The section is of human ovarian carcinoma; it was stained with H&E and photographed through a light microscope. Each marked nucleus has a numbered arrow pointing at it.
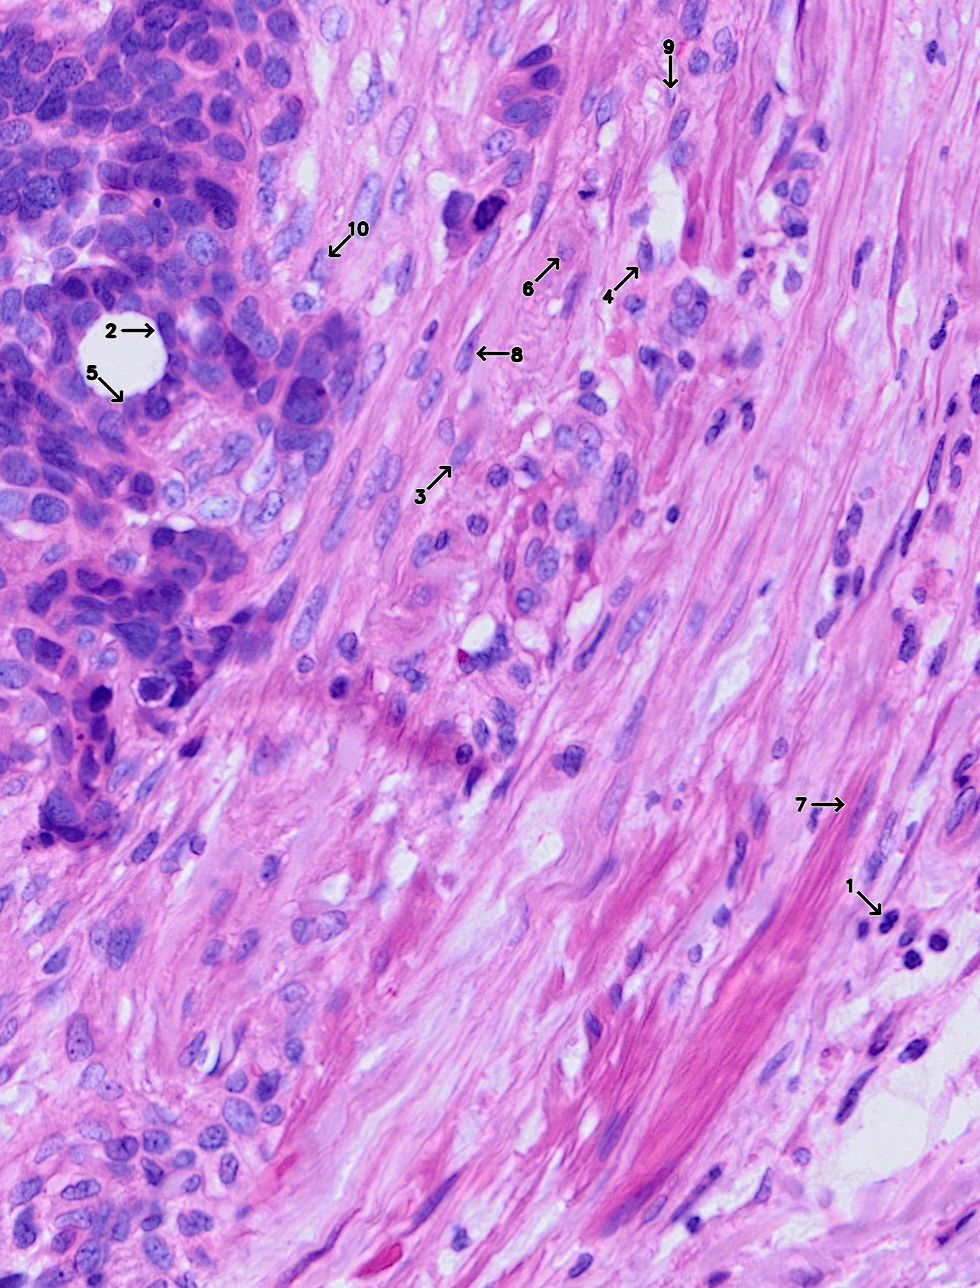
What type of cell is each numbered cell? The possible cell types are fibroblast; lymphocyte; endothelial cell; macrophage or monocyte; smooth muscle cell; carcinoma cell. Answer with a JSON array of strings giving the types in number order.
["lymphocyte", "carcinoma cell", "fibroblast", "fibroblast", "carcinoma cell", "fibroblast", "smooth muscle cell", "fibroblast", "fibroblast", "fibroblast"]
